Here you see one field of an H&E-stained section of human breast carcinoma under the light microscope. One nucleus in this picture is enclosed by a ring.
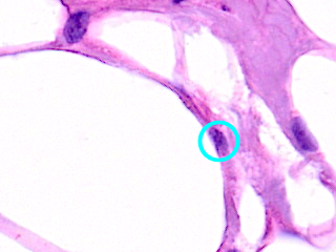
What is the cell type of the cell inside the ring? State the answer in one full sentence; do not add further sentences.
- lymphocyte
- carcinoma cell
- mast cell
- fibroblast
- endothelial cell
In the stained section, the cell inside the ring is a fibroblast.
